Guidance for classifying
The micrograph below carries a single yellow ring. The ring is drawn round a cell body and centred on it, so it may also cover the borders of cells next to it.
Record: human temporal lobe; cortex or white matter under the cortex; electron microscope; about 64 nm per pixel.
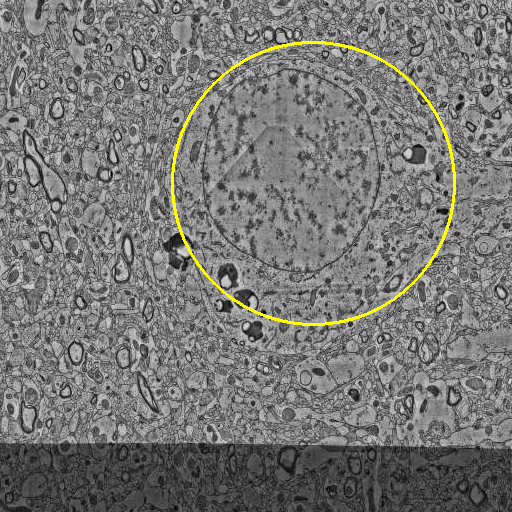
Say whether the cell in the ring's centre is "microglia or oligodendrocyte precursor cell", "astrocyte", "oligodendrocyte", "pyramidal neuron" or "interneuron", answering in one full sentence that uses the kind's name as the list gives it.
Within the yellow ring, a pyramidal neuron is the cell whose body sits at the centre.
